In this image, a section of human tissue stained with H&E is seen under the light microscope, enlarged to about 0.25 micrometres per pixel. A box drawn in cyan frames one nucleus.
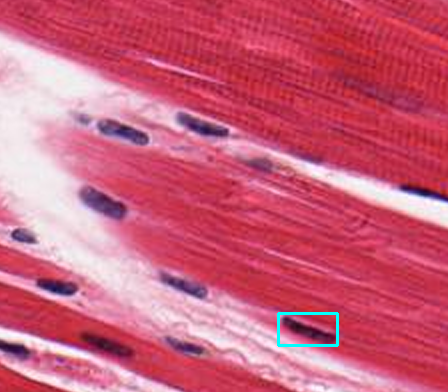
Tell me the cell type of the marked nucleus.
skeletal muscle fibre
